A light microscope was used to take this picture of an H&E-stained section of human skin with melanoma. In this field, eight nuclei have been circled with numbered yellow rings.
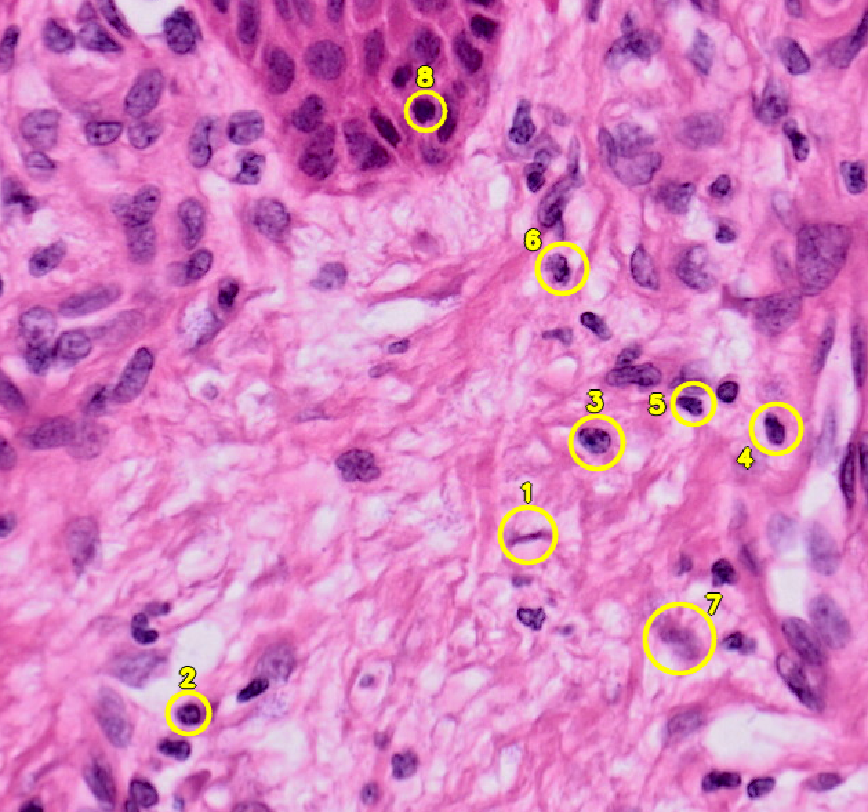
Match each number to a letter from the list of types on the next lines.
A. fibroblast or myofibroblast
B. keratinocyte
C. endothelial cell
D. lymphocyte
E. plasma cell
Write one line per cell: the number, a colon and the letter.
1: A
2: E
3: D
4: D
5: D
6: D
7: A
8: B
